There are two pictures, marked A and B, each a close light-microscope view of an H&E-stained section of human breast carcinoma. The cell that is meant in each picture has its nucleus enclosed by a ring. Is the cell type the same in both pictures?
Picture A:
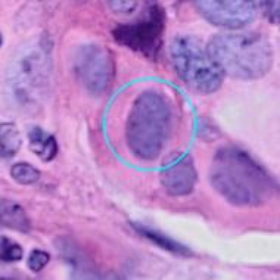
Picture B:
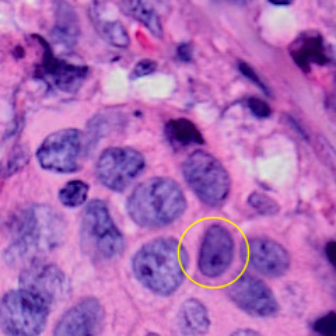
yes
